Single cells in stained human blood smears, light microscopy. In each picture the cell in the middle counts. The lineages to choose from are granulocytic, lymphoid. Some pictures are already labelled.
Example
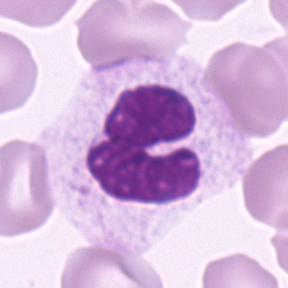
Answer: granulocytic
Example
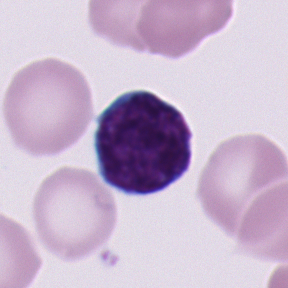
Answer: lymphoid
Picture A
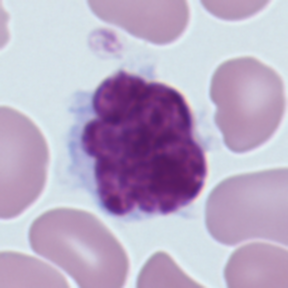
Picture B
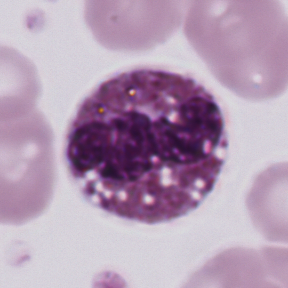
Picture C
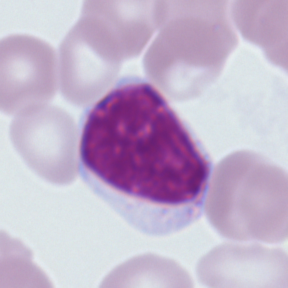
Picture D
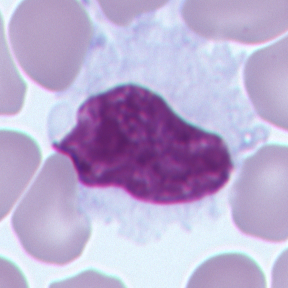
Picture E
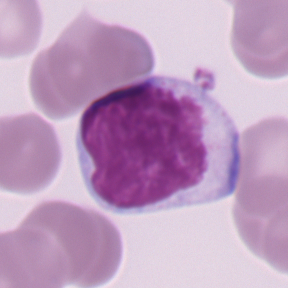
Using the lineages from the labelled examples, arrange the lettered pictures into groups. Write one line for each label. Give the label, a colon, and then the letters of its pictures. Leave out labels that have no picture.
granulocytic: B
lymphoid: A, C, D, E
